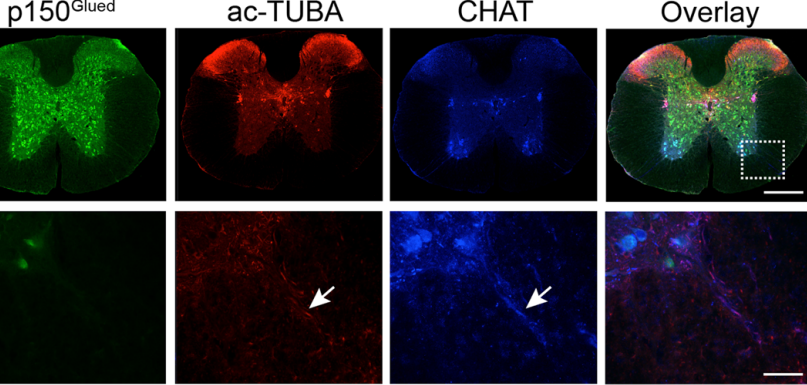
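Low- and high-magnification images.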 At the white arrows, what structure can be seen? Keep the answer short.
ventral roots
